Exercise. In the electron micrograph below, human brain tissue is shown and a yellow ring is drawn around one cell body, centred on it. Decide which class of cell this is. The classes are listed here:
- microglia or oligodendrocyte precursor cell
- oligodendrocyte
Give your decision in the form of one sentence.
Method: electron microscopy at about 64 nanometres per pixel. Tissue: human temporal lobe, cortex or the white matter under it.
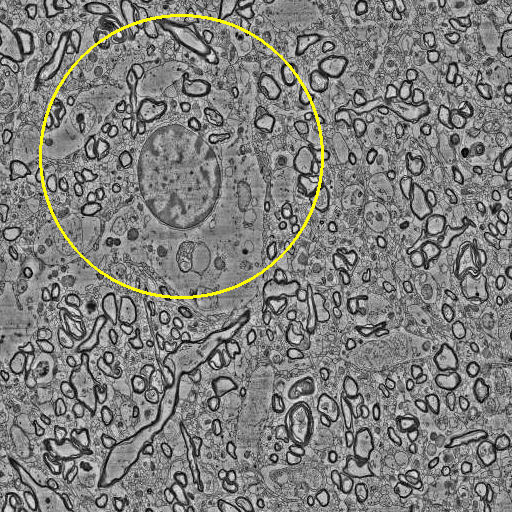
The cell body marked by the ring belongs to a microglial cell or oligodendrocyte precursor cell.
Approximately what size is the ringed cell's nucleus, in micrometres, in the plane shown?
About 7 by 5 micrometers for the nucleus, in this plane.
